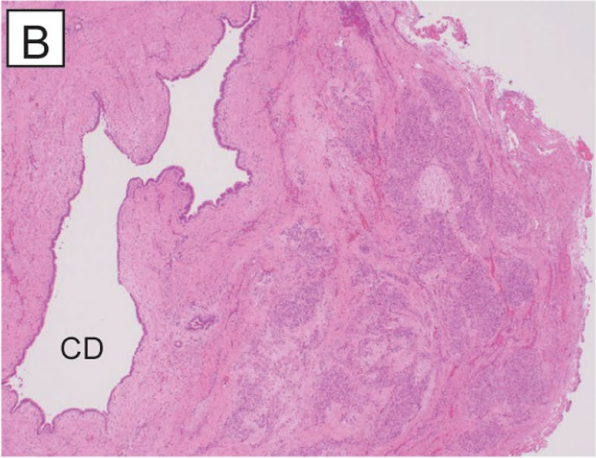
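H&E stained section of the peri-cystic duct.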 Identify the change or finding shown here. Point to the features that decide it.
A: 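Several rounded, densely cellular purple nodules lie in the wall beside the open lumen. The nodules are separated by paler pink fibrous bands. So: polynodular lesions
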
